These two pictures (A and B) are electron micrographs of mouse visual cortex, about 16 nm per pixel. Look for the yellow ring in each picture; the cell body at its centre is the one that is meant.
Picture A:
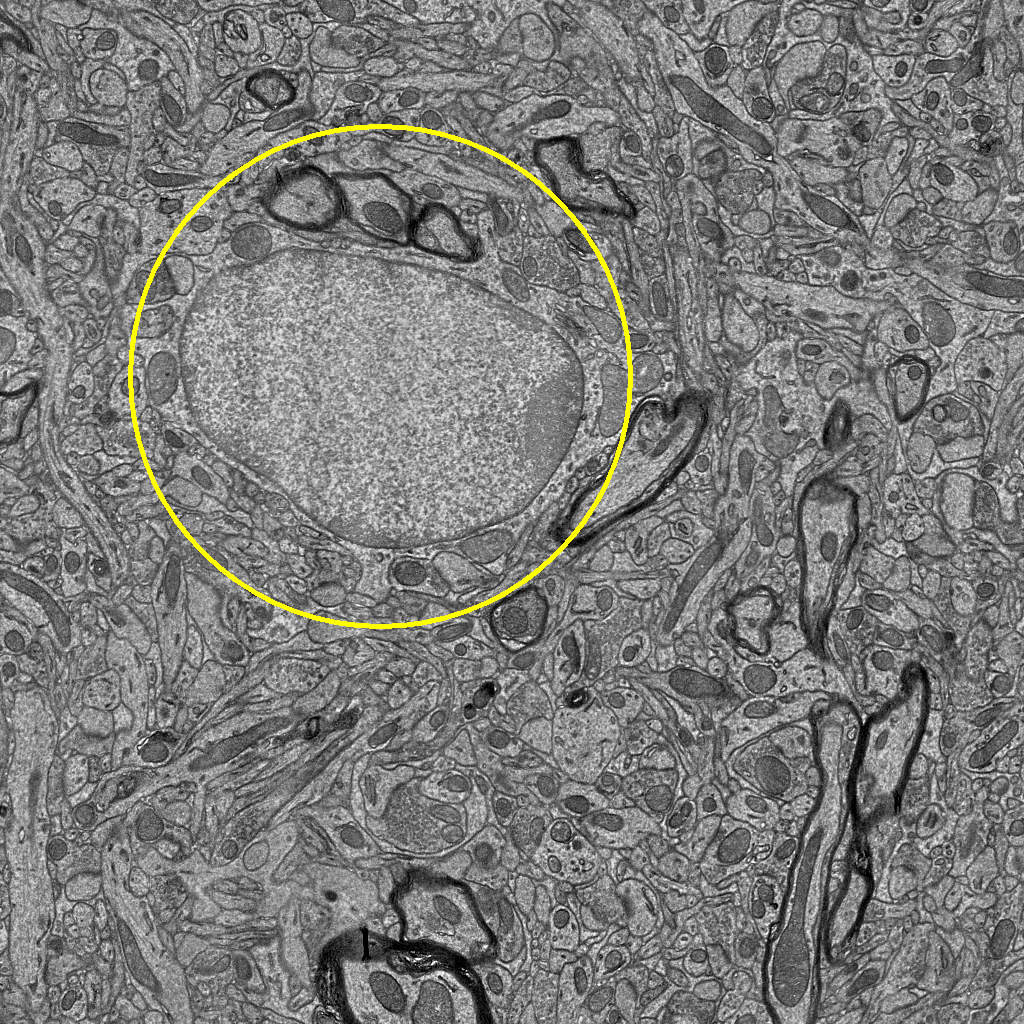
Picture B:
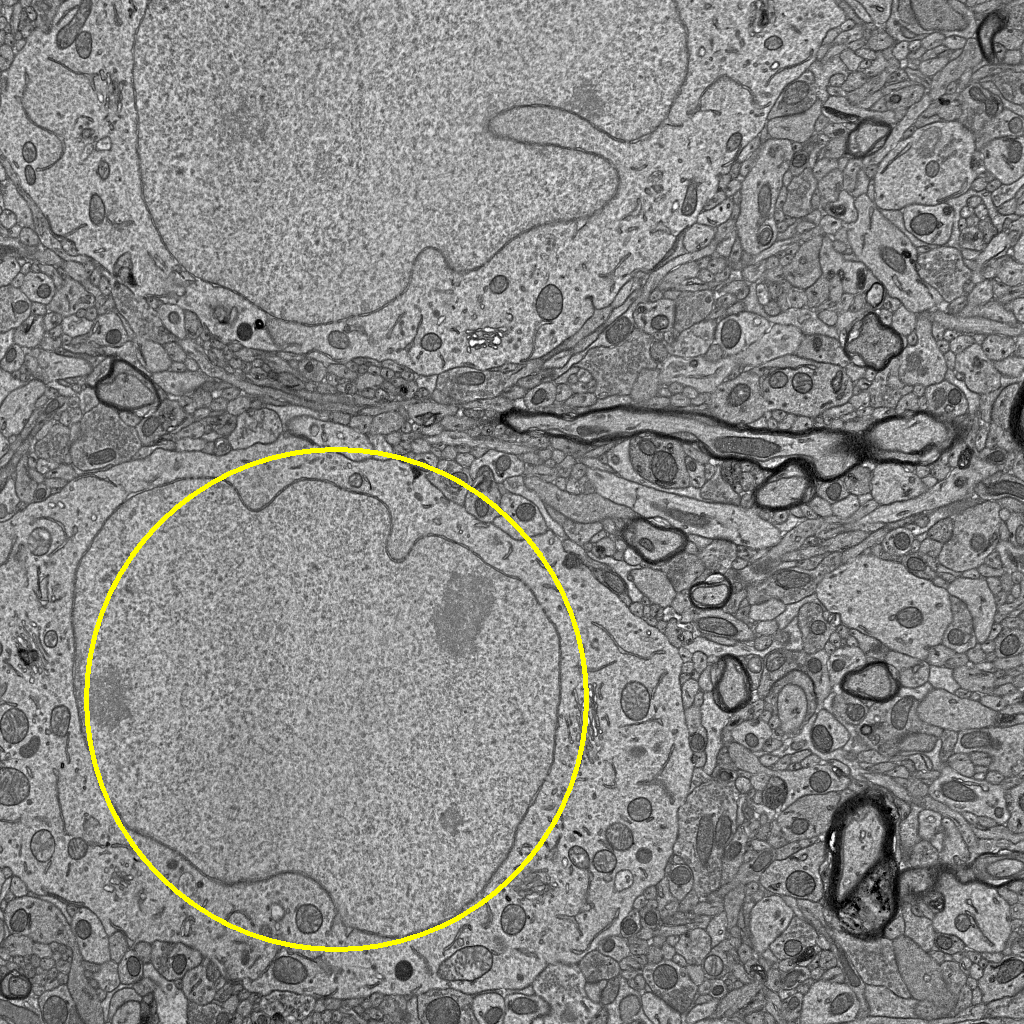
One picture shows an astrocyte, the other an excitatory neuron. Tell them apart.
Picture A is of an astrocyte, and picture B is of an excitatory neuron.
